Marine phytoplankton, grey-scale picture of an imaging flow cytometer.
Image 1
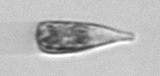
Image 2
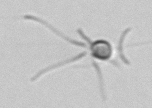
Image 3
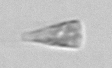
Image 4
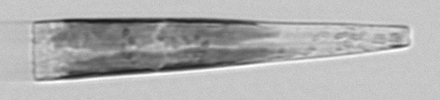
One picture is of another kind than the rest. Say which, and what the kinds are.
Picture 2 shows Ophiaster; the rest show Licmophora.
